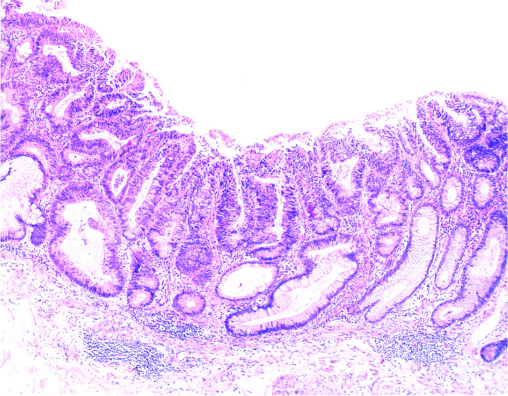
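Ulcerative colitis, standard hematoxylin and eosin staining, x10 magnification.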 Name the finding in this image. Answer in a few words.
Dysplasia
